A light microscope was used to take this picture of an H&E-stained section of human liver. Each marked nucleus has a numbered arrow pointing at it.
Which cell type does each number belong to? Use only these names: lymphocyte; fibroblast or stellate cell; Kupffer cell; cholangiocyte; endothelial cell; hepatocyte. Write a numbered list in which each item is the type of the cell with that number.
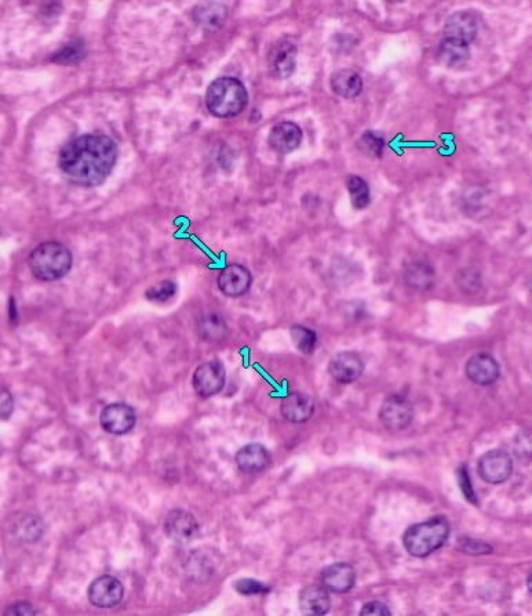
1. hepatocyte
2. hepatocyte
3. endothelial cell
